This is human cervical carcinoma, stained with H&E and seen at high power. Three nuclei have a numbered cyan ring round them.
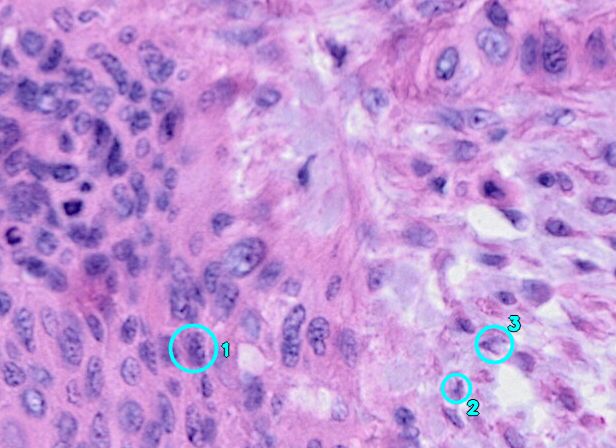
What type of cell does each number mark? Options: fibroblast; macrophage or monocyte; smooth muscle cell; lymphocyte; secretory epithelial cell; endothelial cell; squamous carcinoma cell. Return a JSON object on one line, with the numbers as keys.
{"1": "squamous carcinoma cell", "2": "fibroblast", "3": "fibroblast"}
